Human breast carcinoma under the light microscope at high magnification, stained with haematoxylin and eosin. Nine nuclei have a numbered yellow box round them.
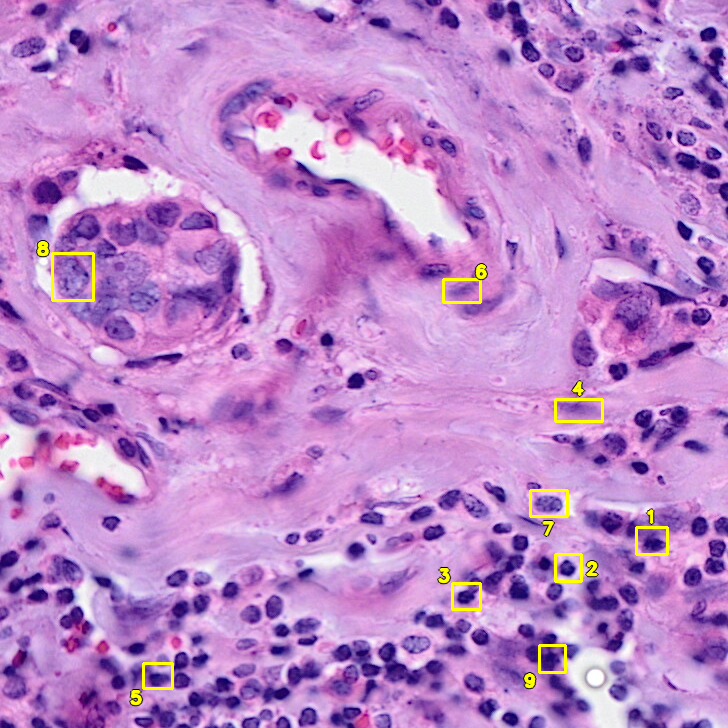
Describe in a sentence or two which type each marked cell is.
Cell 1 is a lymphocyte, cell 2 is a lymphocyte, cell 3 is a lymphocyte, cell 4 is a fibroblast, cell 5 is a lymphocyte, cell 6 is an endothelial cell, cell 7 is a mast cell, cell 8 is a carcinoma cell and cell 9 is a lymphocyte.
